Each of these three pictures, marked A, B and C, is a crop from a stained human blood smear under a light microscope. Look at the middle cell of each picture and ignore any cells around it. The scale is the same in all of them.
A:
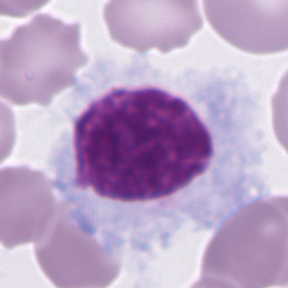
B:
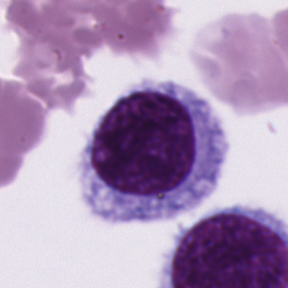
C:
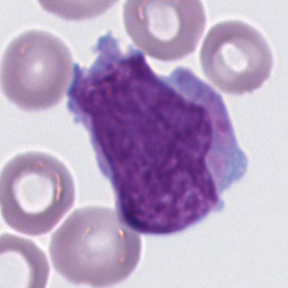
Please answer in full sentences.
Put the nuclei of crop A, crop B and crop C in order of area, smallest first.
Going up, they run B, A, C.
